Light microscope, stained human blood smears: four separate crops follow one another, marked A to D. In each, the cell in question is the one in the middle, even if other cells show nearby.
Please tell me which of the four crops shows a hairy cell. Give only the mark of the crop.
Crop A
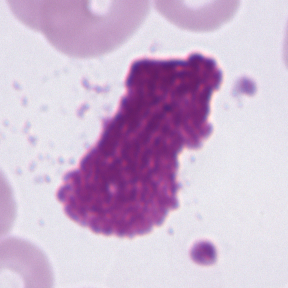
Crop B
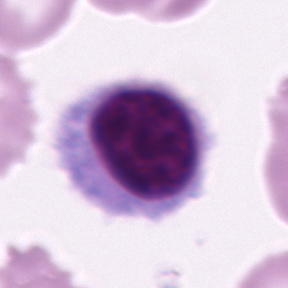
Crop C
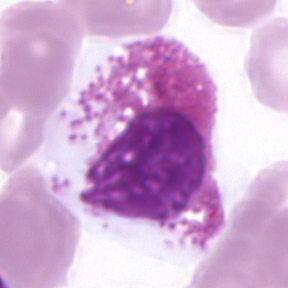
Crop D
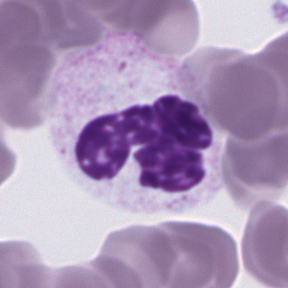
B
